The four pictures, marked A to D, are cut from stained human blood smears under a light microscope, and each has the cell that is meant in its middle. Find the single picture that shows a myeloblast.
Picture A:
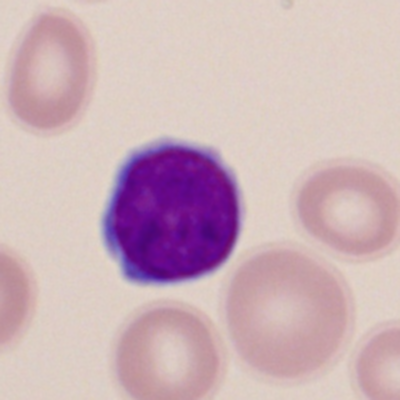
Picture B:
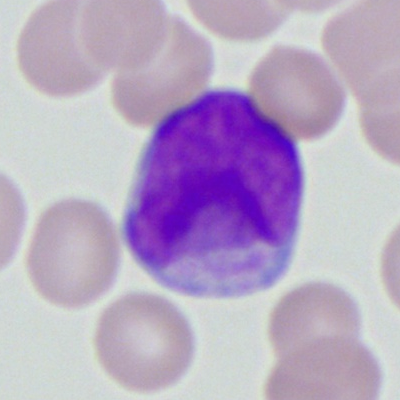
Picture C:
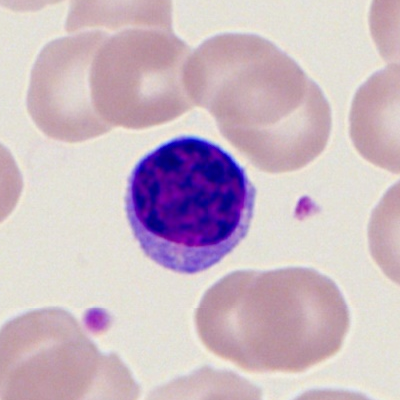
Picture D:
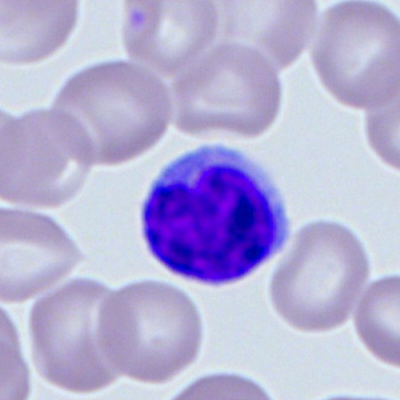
B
